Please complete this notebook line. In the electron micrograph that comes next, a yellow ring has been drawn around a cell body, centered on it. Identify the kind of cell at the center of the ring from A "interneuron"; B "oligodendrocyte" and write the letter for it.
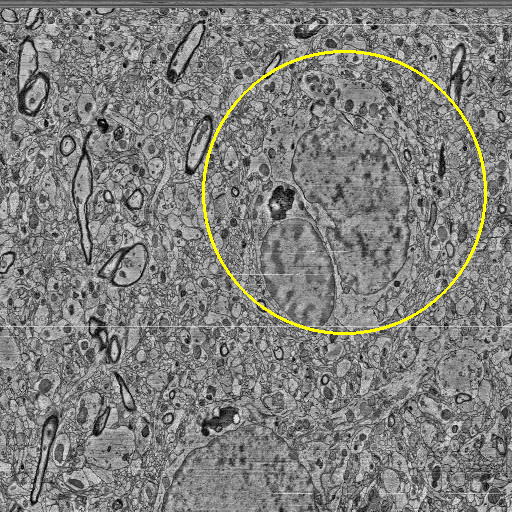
A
